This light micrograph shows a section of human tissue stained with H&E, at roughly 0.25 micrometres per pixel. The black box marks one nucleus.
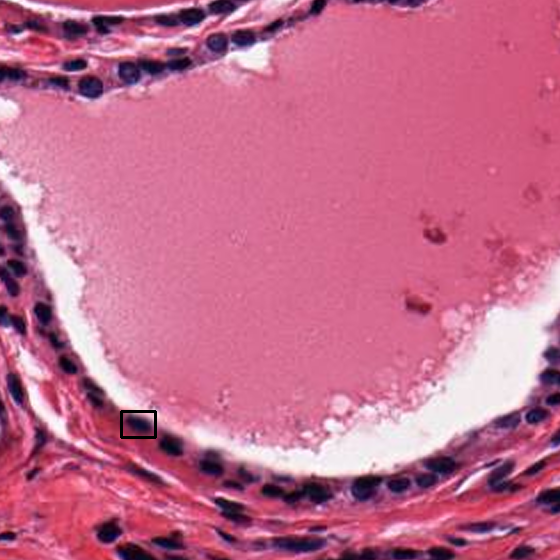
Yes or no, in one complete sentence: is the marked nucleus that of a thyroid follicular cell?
Yes, the marked nucleus is the nucleus belonging to a thyroid follicular cell.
